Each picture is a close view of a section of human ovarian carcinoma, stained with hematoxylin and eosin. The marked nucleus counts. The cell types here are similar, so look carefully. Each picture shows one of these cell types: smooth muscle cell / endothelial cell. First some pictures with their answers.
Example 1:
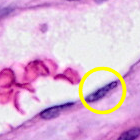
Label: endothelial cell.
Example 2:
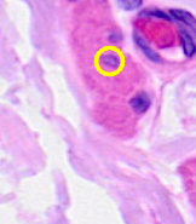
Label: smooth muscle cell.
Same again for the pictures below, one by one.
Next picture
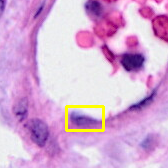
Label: endothelial cell.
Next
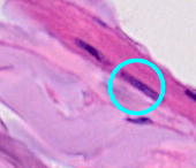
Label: smooth muscle cell.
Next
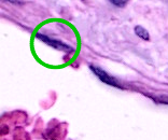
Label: endothelial cell.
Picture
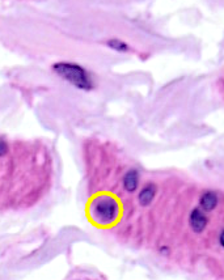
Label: smooth muscle cell.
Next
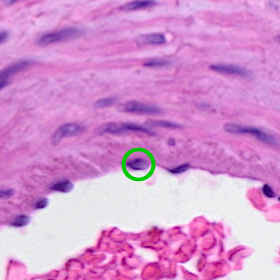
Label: endothelial cell.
